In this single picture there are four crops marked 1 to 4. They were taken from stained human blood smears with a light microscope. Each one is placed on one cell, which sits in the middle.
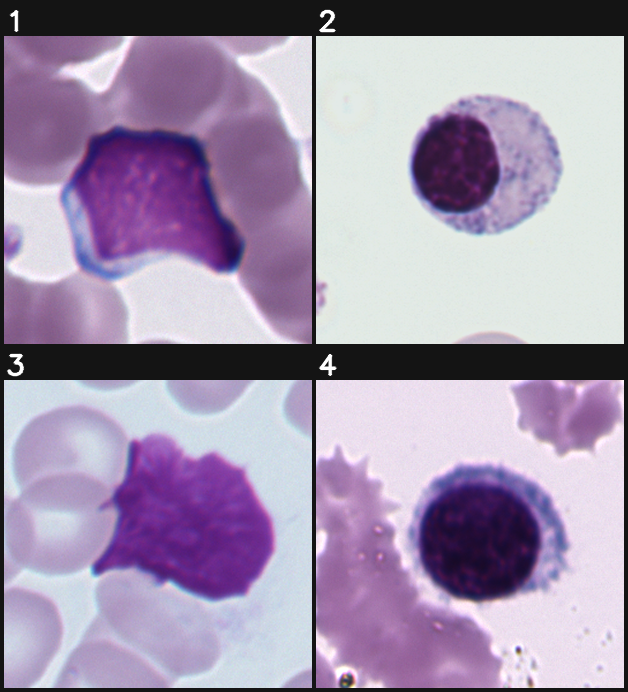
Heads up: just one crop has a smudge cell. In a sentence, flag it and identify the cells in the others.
The middle of crop 3 holds a smudge cell, while crop 1 is a typical lymphocyte, crop 2 is a normoblast and crop 4 is a hairy cell.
